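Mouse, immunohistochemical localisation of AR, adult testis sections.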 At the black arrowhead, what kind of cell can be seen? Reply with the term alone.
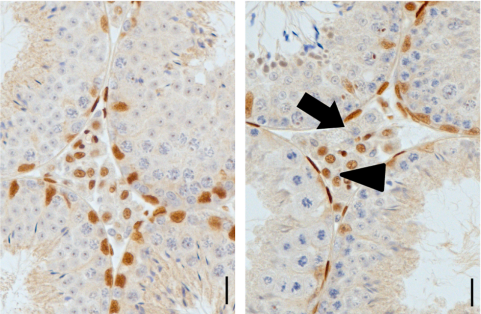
Leydig cells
